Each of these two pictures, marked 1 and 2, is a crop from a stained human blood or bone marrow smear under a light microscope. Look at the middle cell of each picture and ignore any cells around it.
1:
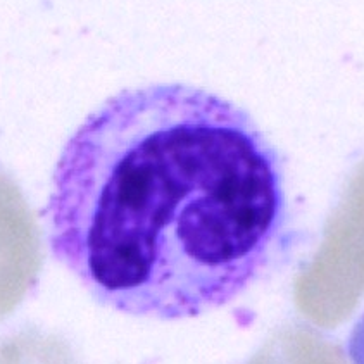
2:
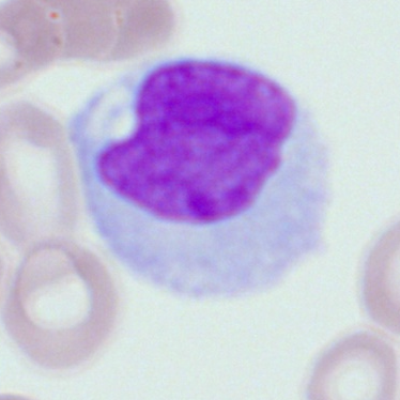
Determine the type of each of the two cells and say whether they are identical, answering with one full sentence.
No, a band neutrophil is shown in crop 1 and a monocyte in crop 2.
